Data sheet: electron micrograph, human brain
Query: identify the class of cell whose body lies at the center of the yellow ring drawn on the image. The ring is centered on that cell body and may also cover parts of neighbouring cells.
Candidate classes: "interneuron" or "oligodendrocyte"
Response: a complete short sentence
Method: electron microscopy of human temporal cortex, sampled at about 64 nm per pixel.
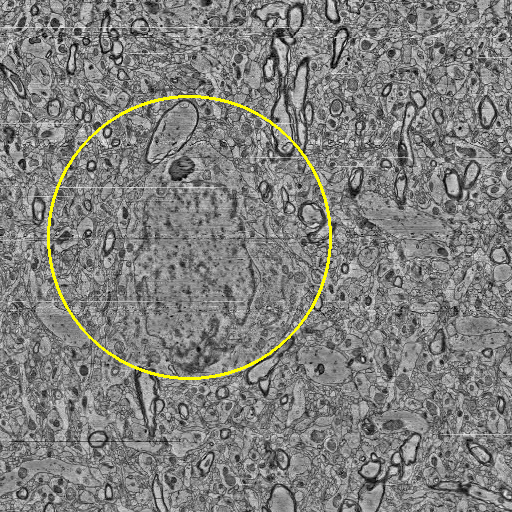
At the center of the ring lies an interneuron.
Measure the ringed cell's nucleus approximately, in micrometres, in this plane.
The ringed cell's nucleus is about 12 micrometres long and 8 micrometres wide in this plane.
